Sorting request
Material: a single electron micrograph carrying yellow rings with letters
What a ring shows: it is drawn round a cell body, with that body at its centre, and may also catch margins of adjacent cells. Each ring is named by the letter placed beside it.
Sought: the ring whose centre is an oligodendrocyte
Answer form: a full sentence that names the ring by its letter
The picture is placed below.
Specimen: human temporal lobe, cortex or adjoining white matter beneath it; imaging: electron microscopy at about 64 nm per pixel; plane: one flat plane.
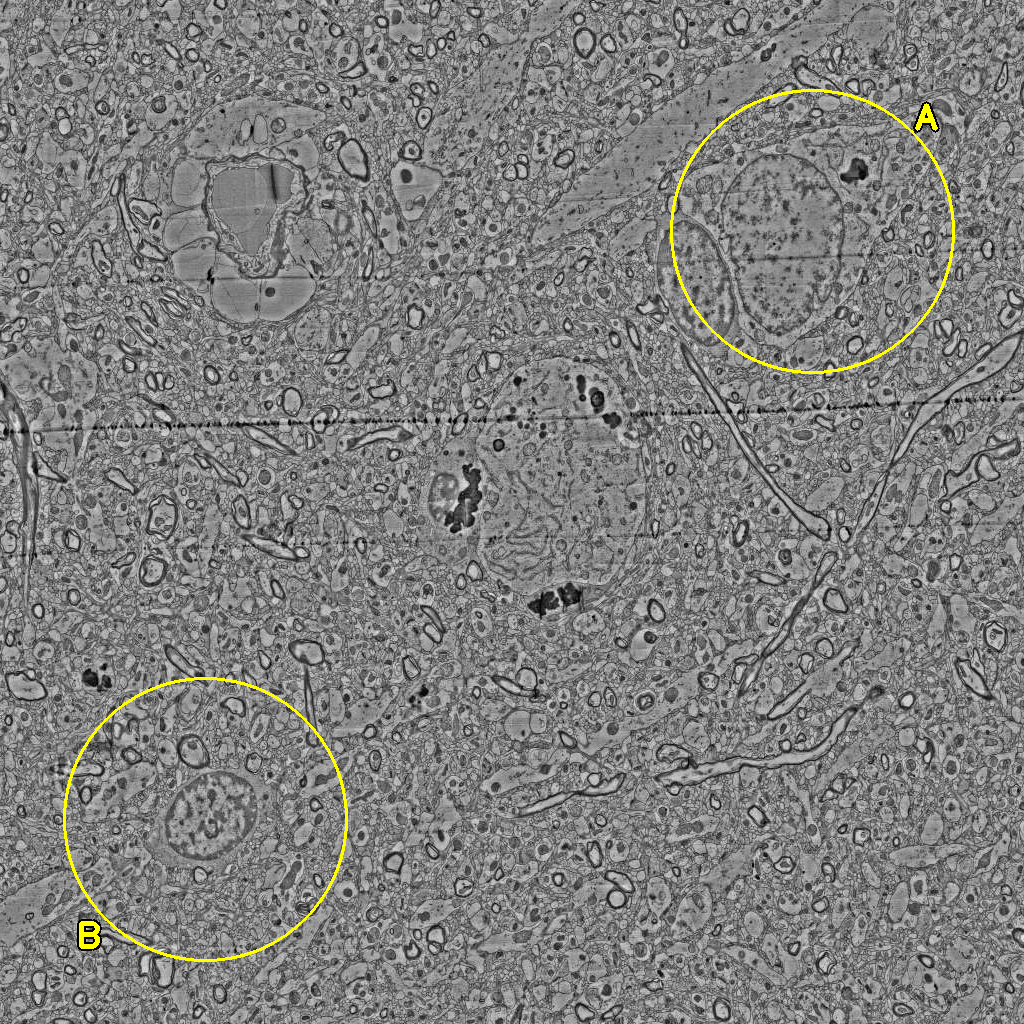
The ring centred on the cell asked for carries the letter B.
